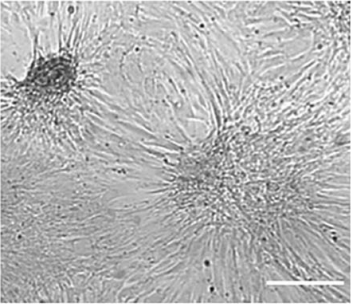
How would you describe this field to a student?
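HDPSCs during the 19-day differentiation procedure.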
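Elongated spindle-shaped cells form a dense monolayer in which cells are gathering into dense, rounded clusters. Around each cluster the spindle cells are aligned so that they radiate outward from it, giving a starburst pattern. The centres of the clusters appear darker and more granular, where cells are piled up, while the surrounding cells remain flat and parallel.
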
